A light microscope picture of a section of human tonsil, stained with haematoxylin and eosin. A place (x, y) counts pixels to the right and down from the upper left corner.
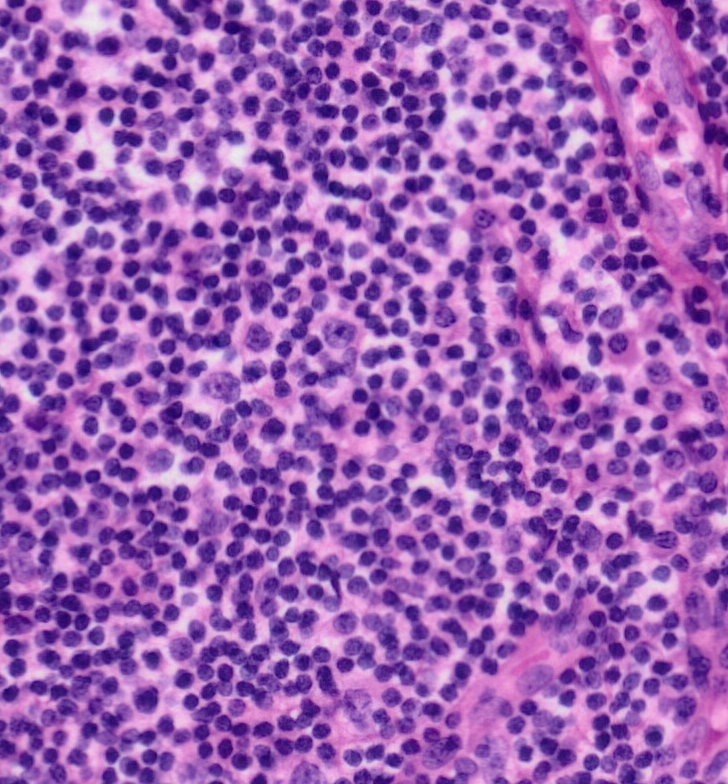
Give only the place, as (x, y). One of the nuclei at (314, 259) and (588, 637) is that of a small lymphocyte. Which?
(314, 259)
